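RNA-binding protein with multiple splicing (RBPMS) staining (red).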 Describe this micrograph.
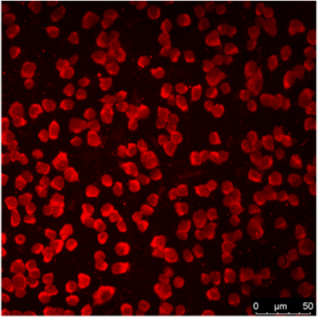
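The cell bodies are rounded to polygonal and fairly uniform in size, about a quarter of the 50 µm scale bar across. The red staining fills the cell bodies and is brightest toward their edges.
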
